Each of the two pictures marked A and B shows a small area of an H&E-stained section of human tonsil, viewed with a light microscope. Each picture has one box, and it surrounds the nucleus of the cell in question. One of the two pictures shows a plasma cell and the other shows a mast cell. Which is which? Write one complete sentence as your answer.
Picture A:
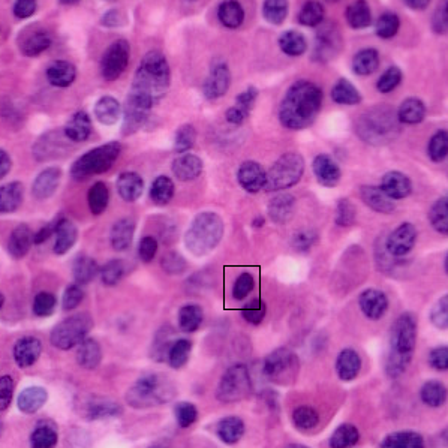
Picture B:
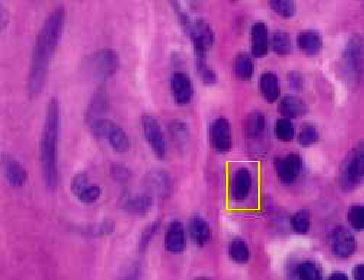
Picture A is of a plasma cell, and picture B is of a mast cell.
